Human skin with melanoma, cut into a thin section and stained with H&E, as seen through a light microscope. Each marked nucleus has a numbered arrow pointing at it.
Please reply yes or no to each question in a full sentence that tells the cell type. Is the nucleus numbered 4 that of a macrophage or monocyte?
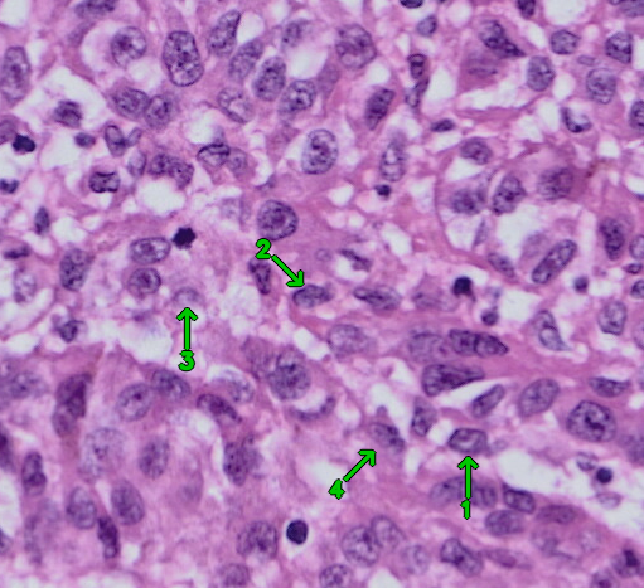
No, cell 4 is to be read as a melanoma cell, not a macrophage or monocyte.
